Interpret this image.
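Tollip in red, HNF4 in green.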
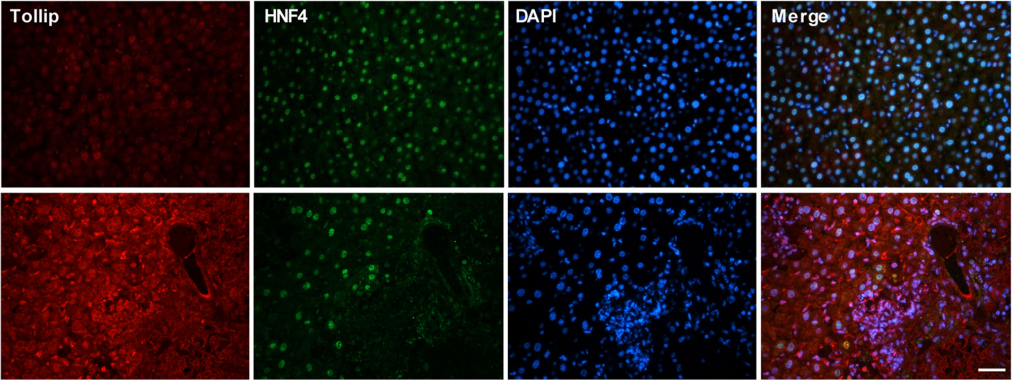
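This is liver parenchyma made of closely packed hepatocytes, each with a large round nucleus that lights up green and blue. Red fluorescence fills the cytoplasm around these nuclei, faint in the upper row and strong and widespread in the lower row. The lower row also shows a vessel lumen and a dense cluster of small blue nuclei that lack the green nuclear label.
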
